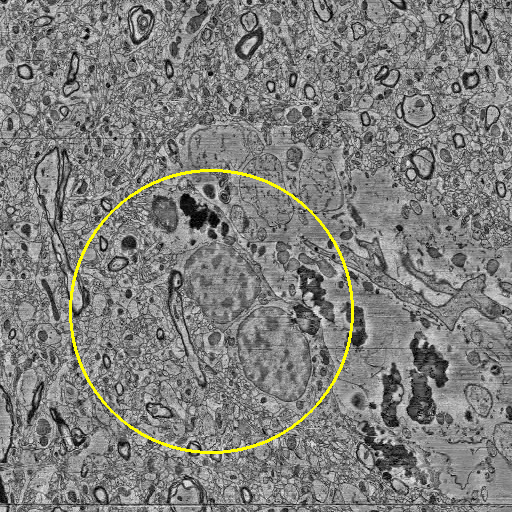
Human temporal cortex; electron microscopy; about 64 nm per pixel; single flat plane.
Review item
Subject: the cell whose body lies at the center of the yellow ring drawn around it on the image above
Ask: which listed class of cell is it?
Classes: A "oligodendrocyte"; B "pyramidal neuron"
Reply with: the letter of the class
A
